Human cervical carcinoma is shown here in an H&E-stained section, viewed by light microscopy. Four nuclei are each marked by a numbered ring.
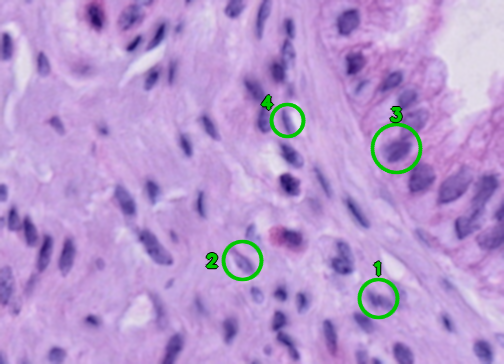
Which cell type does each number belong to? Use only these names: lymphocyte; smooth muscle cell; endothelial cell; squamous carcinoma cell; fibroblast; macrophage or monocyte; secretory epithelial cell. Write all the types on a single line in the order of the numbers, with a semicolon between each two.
fibroblast; fibroblast; secretory epithelial cell; fibroblast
